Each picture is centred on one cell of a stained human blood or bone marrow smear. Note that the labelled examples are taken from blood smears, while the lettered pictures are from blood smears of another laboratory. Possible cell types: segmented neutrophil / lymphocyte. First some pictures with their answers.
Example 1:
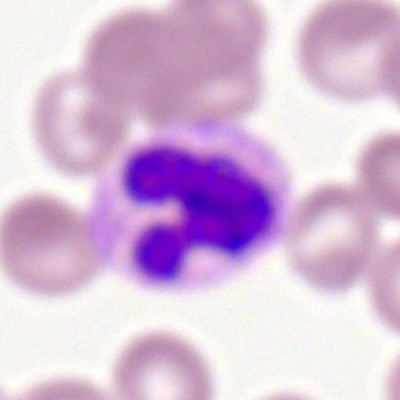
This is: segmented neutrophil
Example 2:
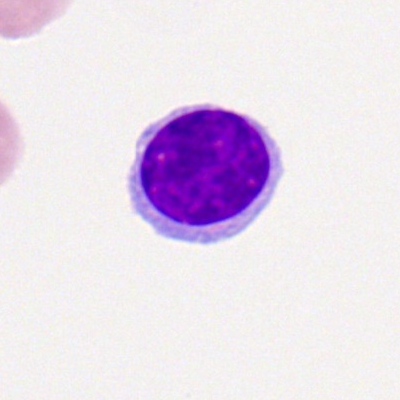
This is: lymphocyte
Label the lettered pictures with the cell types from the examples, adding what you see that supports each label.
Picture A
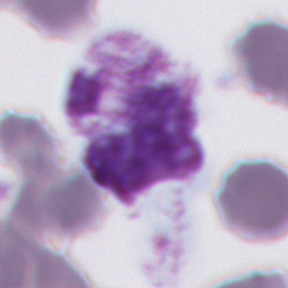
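segmented neutrophil: The outline of the nucleus is hidden by the overlying granules.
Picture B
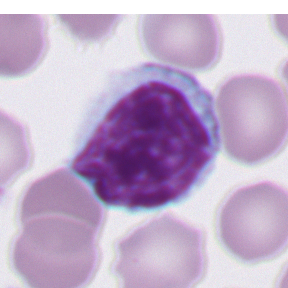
lymphocyte: The cytoplasm forms only a narrow rim around the nucleus.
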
